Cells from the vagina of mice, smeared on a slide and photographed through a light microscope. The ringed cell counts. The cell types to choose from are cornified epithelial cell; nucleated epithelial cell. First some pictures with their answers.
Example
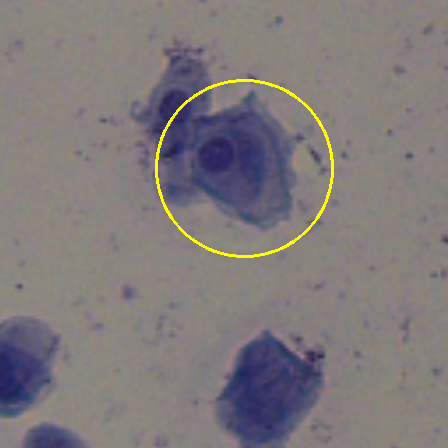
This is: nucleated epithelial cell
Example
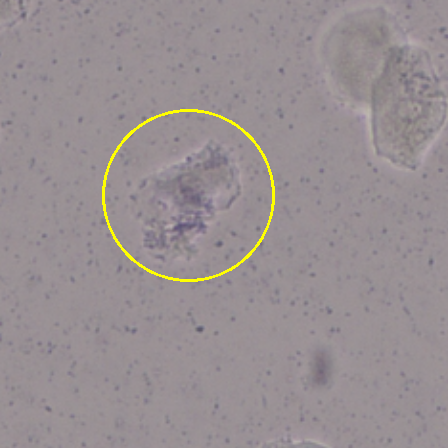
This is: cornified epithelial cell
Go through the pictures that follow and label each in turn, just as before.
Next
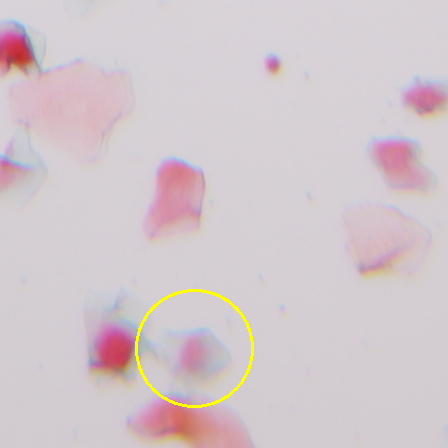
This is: nucleated epithelial cell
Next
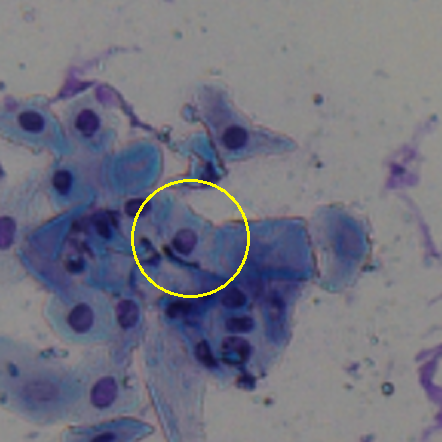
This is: nucleated epithelial cell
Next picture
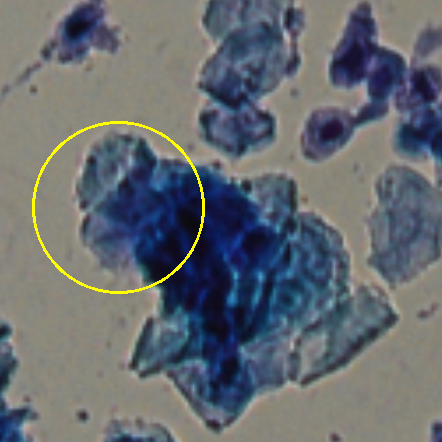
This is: cornified epithelial cell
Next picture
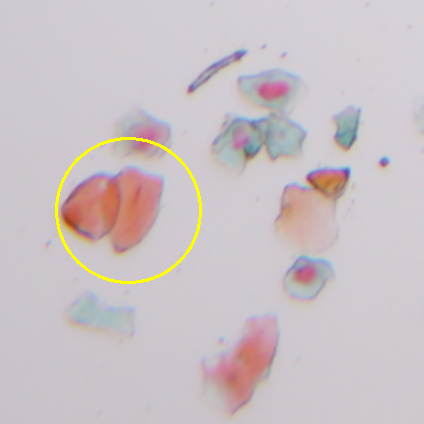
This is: cornified epithelial cell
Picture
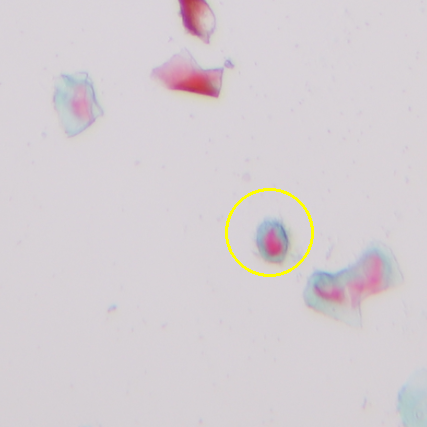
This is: nucleated epithelial cell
